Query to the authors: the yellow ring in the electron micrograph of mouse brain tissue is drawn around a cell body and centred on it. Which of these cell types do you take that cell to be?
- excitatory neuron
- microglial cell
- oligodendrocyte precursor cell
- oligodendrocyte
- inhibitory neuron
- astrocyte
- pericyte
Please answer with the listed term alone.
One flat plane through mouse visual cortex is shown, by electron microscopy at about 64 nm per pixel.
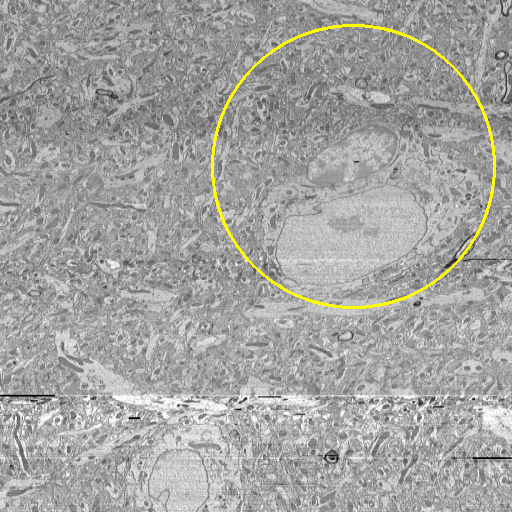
oligodendrocyte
